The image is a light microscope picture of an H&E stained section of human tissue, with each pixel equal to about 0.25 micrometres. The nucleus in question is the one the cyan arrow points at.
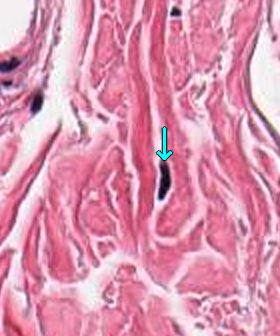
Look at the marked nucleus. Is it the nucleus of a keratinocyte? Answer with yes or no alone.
no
